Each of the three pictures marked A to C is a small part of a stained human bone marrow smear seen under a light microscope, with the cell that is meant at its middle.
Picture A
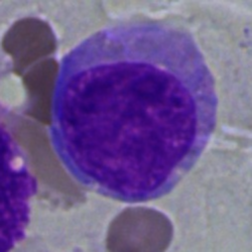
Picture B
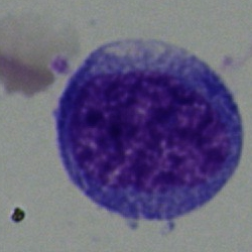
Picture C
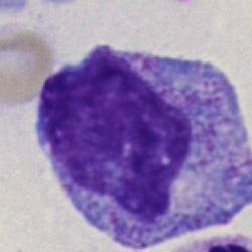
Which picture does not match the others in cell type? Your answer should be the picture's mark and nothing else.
C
